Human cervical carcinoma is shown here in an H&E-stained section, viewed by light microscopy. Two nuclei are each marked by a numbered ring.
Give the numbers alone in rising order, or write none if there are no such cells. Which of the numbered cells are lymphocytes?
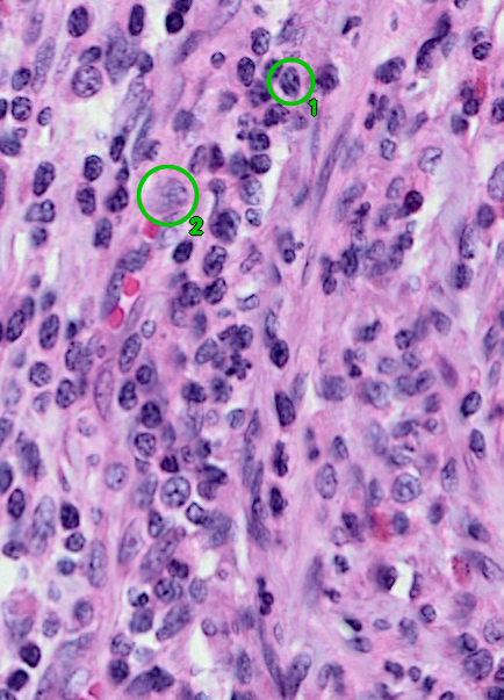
1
